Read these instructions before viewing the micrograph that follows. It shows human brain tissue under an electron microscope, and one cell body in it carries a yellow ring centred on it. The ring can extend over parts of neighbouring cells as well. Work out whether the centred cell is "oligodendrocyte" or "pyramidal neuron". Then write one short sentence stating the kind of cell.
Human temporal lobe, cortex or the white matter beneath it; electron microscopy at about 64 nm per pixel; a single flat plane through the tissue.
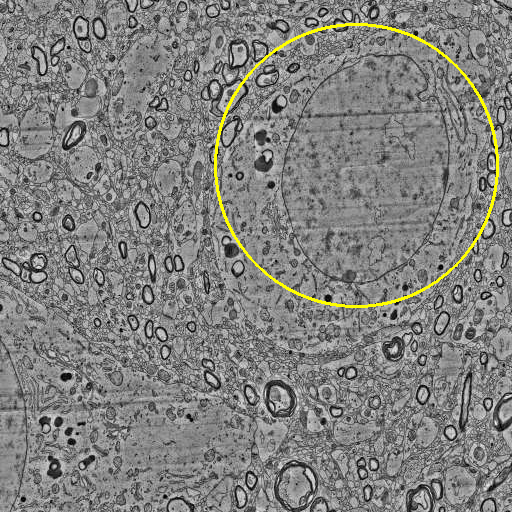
The ringed cell is a pyramidal neuron.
